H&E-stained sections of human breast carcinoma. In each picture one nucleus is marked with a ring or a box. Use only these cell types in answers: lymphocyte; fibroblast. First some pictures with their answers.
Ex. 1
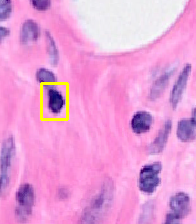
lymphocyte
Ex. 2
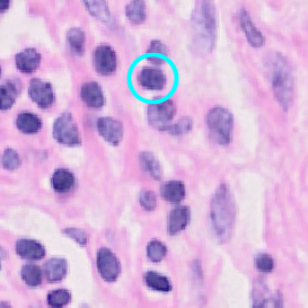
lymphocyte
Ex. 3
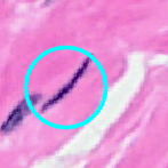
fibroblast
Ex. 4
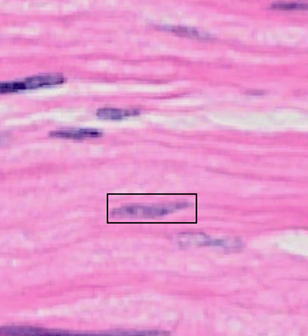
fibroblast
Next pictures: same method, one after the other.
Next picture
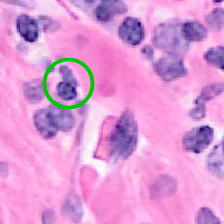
lymphocyte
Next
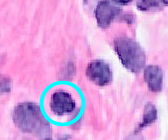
lymphocyte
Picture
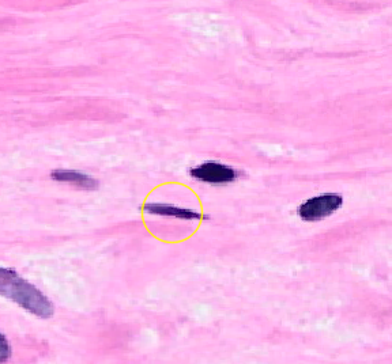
fibroblast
